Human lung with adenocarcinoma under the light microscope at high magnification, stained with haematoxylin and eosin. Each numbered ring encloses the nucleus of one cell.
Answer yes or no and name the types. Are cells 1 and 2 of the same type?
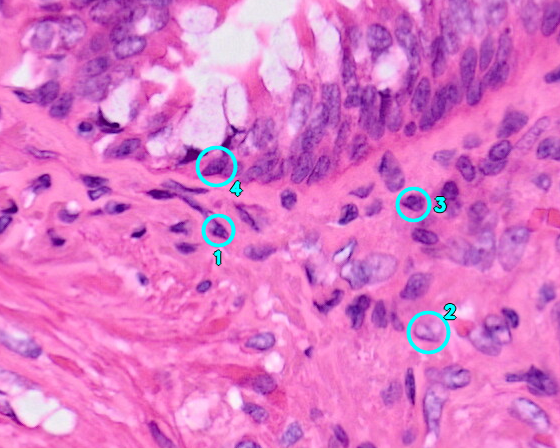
No, the right answer is a mast cell for cell 1 and an endothelial cell for cell 2.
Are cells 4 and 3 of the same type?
No, unlike cell 4, which is a ciliated epithelial cell, cell 3 is a plasma cell.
